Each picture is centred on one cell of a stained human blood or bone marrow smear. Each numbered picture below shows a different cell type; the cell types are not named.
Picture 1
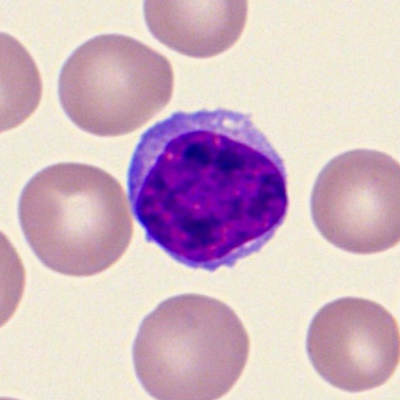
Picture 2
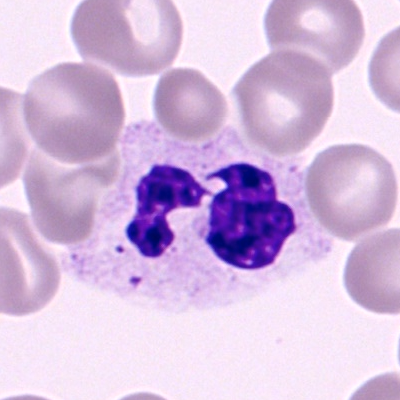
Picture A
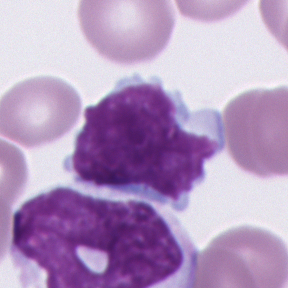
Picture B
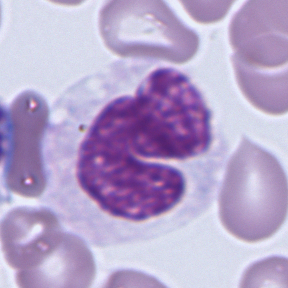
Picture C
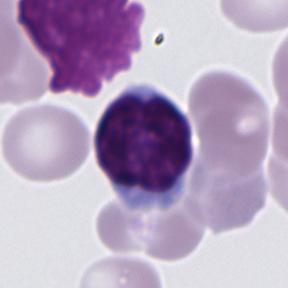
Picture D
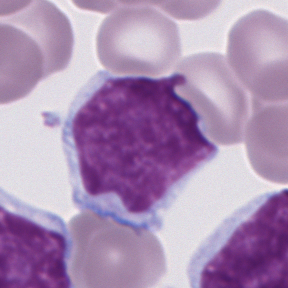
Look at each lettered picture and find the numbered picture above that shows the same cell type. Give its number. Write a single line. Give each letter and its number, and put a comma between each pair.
A 1, B 2, C 1, D 1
